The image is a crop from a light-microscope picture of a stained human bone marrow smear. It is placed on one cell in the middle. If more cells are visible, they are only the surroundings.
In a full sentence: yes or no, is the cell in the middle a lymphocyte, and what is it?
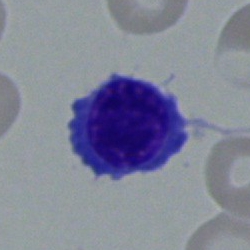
Yes, in the middle of the crop is a lymphocyte.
